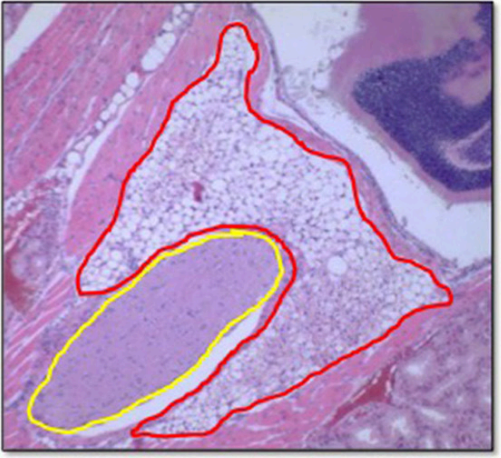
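An elongated, solid, evenly pink-purple band with scattered small dark nuclei runs diagonally through the field, set off by a thin clear gap. Bundles of pink striated fibres border the field above and to the left. The solid band is the optic nerve and the surrounding clear-spaced tissue is adipose tissue made of adipocytes.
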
